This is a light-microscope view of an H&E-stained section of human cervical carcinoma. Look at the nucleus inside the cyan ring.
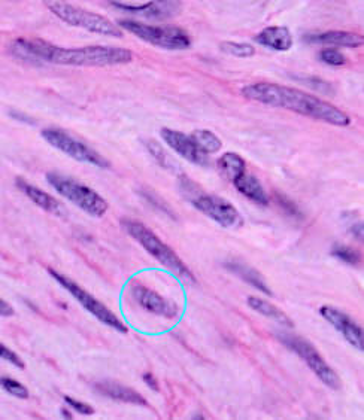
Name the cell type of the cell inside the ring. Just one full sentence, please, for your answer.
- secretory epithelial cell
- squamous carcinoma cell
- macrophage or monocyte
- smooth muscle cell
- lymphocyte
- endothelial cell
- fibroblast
On this particular slide, the cell inside the ring is a smooth muscle cell.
